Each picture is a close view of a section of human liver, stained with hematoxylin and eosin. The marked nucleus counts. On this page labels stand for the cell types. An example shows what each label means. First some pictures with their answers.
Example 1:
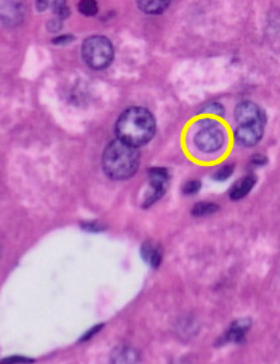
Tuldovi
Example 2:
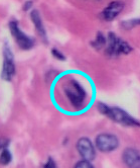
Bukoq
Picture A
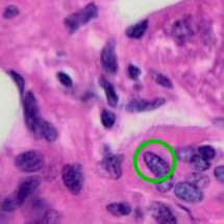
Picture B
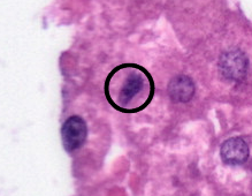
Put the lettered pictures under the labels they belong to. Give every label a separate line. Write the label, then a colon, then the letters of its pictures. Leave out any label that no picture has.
Tuldovi: A
Bukoq: B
